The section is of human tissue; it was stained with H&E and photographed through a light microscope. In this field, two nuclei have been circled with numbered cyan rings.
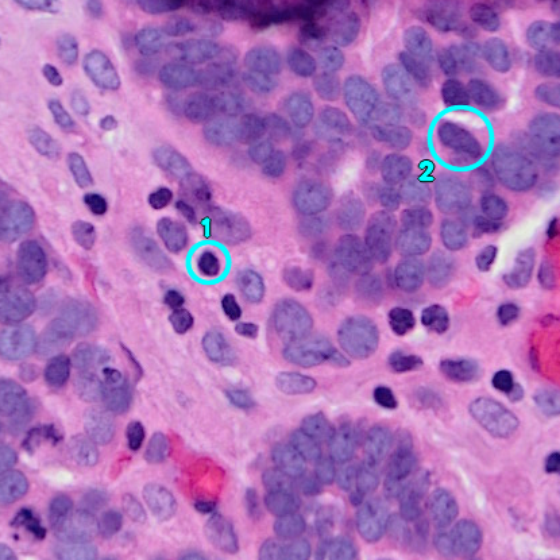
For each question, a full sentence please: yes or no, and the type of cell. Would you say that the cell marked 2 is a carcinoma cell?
Yes, the cell labelled with number 2 is a carcinoma cell.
